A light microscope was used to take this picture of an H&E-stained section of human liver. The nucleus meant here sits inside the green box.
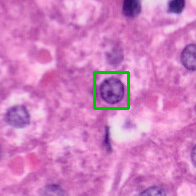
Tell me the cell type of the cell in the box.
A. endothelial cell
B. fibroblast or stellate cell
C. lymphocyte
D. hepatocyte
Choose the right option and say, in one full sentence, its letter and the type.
Option D is correct; the cell in the box is a hepatocyte.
